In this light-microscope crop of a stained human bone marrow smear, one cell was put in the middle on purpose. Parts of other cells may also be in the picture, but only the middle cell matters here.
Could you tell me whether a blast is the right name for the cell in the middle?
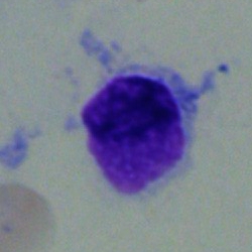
no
